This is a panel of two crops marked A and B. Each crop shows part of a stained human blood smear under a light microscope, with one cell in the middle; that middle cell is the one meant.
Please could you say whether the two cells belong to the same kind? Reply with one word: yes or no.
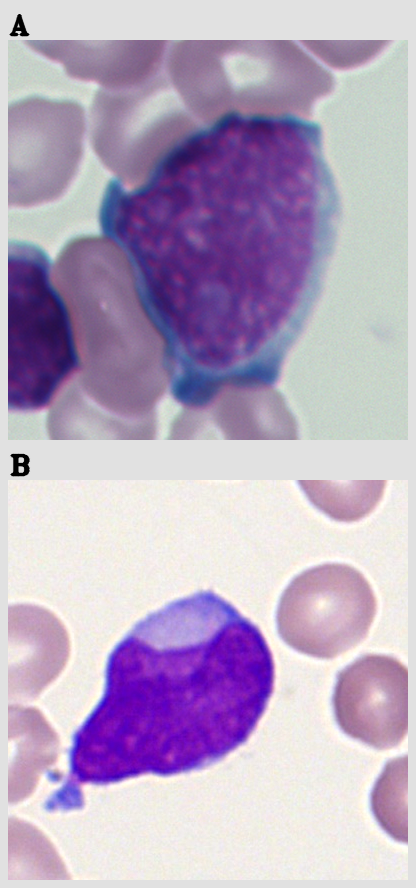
yes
